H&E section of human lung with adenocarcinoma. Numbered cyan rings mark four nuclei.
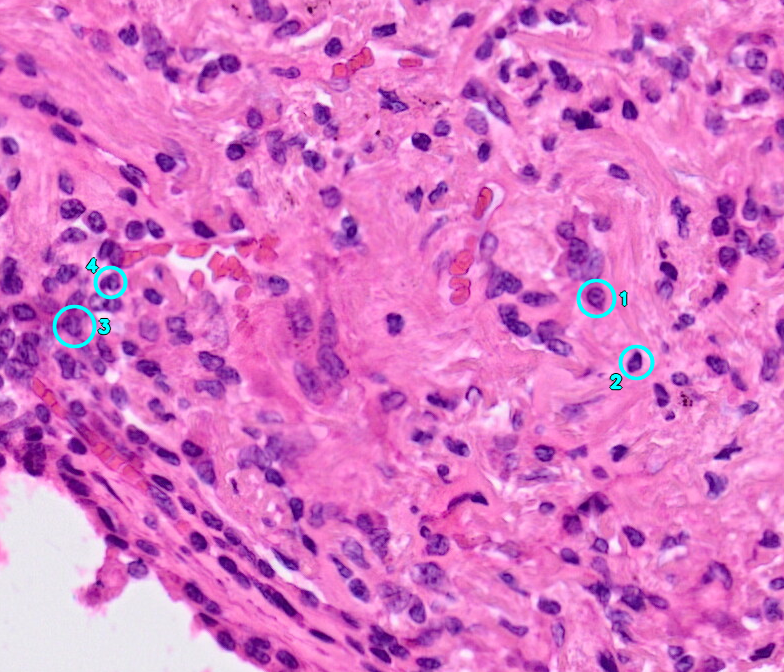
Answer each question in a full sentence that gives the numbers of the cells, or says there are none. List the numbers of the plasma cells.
The cells which carry the numbers 1 and 3 are plasma cells.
